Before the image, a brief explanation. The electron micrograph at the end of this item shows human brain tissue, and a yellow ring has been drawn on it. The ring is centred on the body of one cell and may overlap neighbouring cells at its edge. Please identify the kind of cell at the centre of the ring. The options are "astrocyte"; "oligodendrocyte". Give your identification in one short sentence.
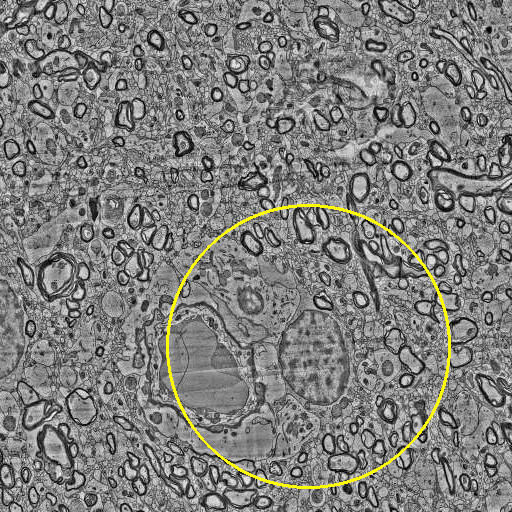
The ring has been placed around an oligodendrocyte.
